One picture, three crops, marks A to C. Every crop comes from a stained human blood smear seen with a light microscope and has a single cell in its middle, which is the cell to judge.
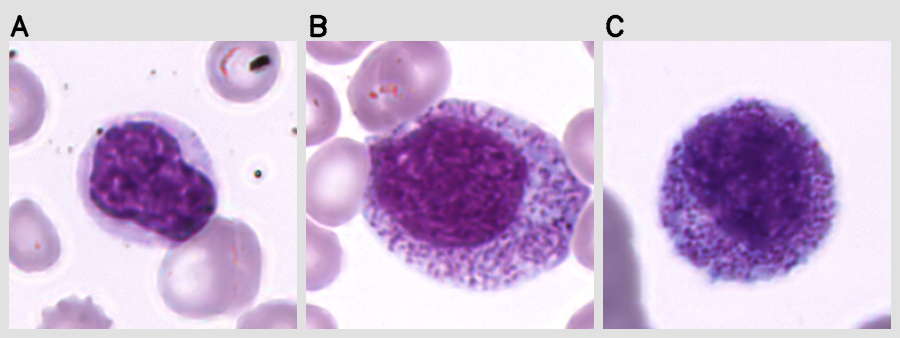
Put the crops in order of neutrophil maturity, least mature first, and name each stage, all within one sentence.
Ranked in ascending maturity, the crops are crop B (a promyelocyte), crop C (a myelocyte) and crop A (a metamyelocyte).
